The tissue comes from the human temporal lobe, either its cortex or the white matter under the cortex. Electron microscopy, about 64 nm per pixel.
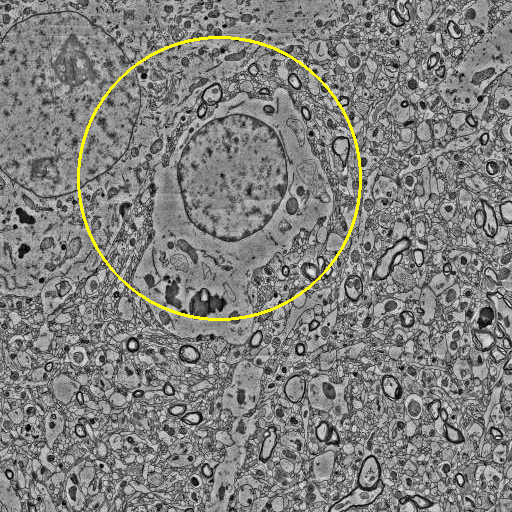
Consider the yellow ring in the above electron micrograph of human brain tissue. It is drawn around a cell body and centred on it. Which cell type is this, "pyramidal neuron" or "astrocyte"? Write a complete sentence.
The cell in question is an astrocyte.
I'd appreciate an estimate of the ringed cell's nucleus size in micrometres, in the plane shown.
Roughly 8 micrometres by 7 micrometres, in this plane.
